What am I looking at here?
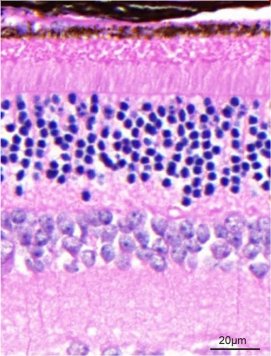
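This section of retina shows the outer layers with a thin inner nuclear layer. A dark pigmented band at the top covers a pale pink, striated layer of photoreceptor segments. The outer nuclear layer below consists of rows of small, round, dark-purple nuclei that are less tightly packed. The inner nuclear layer beneath a pink band is narrow, made of only a few rows of large, pale, poorly stained nuclei. Below it a wide, pale pink, finely textured layer fills the lower part of the field.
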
